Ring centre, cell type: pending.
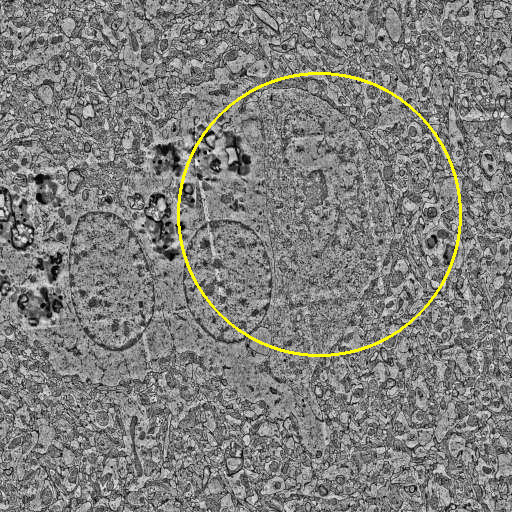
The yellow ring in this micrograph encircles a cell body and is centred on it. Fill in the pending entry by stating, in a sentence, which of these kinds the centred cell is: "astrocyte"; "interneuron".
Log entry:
The centred cell is recorded as an interneuron.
